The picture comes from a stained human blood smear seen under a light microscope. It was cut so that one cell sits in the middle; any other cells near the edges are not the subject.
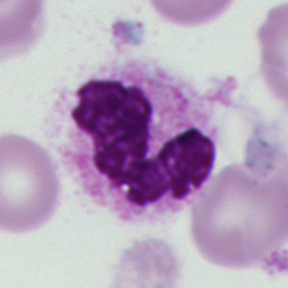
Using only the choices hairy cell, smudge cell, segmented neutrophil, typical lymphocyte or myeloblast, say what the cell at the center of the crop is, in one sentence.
The cell positioned in the middle of the field is a segmented neutrophil.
